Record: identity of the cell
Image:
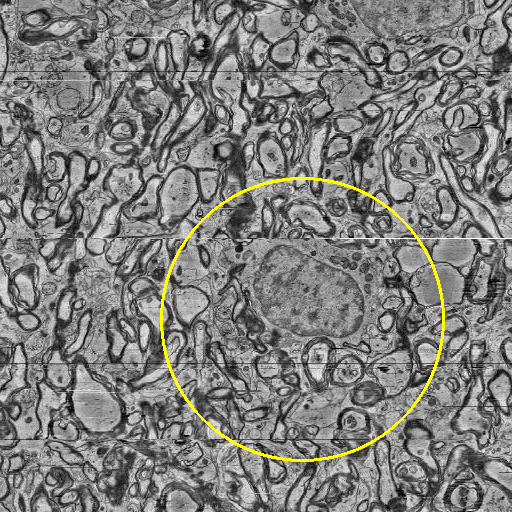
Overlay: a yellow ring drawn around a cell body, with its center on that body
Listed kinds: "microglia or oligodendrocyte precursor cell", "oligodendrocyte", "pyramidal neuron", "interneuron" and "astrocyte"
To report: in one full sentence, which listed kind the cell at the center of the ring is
In the image, the cell body at the ring's center belongs to an oligodendrocyte.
